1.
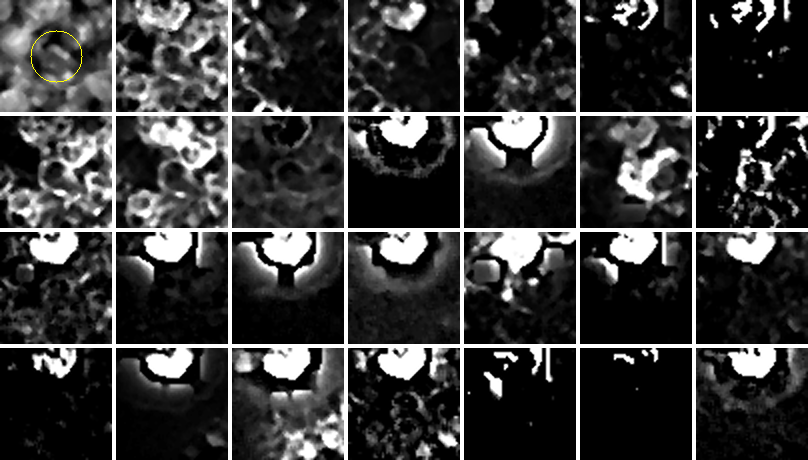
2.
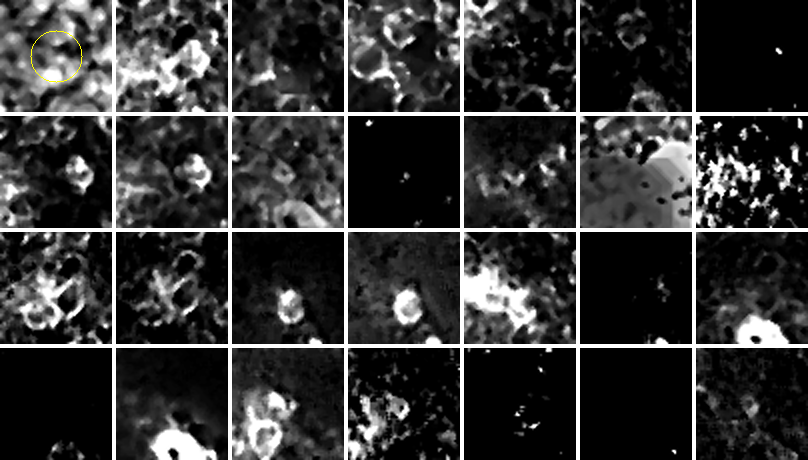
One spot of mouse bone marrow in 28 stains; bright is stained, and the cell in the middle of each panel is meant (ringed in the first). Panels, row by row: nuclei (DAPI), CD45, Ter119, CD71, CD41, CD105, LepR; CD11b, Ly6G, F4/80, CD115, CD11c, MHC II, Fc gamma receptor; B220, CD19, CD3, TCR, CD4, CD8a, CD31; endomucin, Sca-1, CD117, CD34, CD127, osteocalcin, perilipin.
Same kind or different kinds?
Same: erythroid progenitors (CFU-E).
